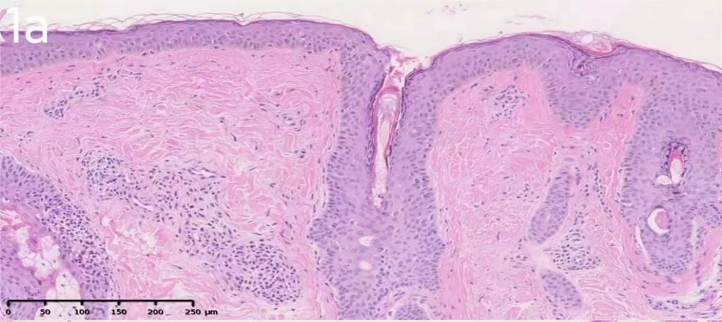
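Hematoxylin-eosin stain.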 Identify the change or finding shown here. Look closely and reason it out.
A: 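Perivascular and perifollicular inflammation. Dense clusters of small dark-purple nuclei lie in the dermis. The clusters gather around small vessels and beside adnexal epithelium.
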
